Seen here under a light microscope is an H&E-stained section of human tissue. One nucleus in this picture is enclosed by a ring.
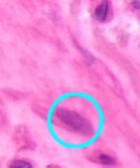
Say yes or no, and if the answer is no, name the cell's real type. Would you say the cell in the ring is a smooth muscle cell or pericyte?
Yes.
